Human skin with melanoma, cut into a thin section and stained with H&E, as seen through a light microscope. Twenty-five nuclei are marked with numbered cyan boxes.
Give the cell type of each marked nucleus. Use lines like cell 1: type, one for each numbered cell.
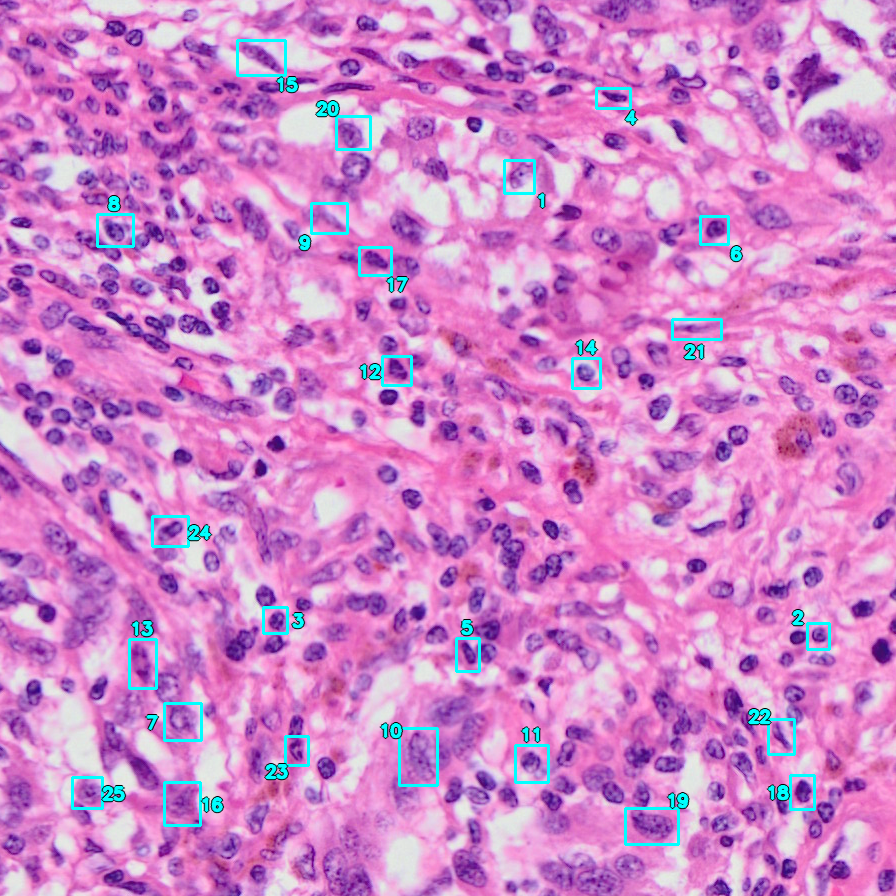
cell 1: melanoma cell
cell 2: lymphocyte
cell 3: lymphocyte
cell 4: lymphocyte
cell 5: plasma cell
cell 6: plasma cell
cell 7: melanoma cell
cell 8: lymphocyte
cell 9: fibroblast or myofibroblast
cell 10: melanoma cell
cell 11: lymphocyte
cell 12: plasma cell
cell 13: melanoma cell
cell 14: lymphocyte
cell 15: melanoma cell
cell 16: melanoma cell
cell 17: lymphocyte
cell 18: lymphocyte
cell 19: melanoma cell
cell 20: melanoma cell
cell 21: fibroblast or myofibroblast
cell 22: fibroblast or myofibroblast
cell 23: plasma cell
cell 24: lymphocyte
cell 25: melanoma cell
